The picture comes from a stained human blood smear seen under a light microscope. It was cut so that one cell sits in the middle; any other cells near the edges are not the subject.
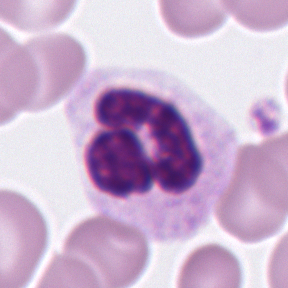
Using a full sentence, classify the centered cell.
Positioned in the middle of the crop is a segmented neutrophil.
